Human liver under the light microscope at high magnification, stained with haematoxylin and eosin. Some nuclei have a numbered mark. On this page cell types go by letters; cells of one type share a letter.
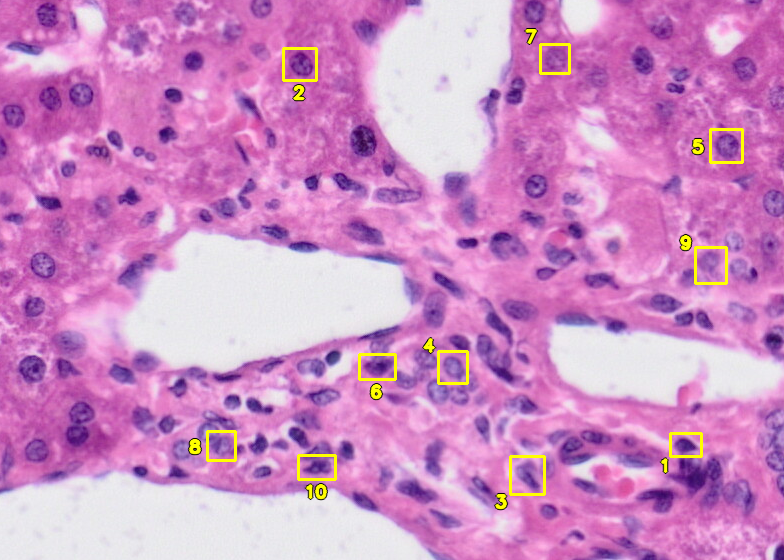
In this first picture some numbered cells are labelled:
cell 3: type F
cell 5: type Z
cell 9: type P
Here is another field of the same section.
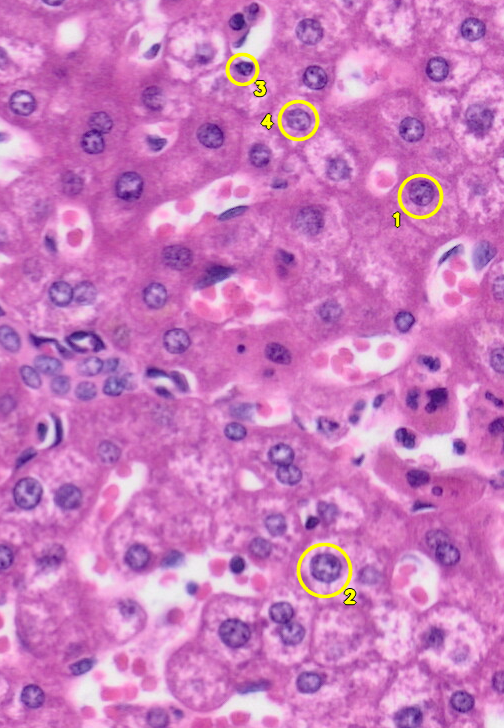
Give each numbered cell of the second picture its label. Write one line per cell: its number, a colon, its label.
1: type Z
2: type Z
3: type F
4: type Z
